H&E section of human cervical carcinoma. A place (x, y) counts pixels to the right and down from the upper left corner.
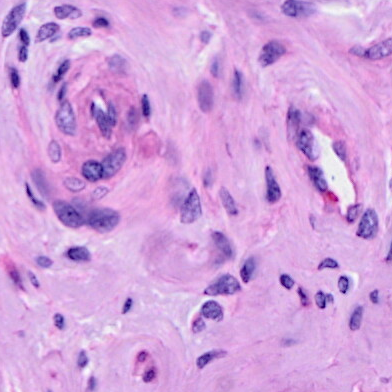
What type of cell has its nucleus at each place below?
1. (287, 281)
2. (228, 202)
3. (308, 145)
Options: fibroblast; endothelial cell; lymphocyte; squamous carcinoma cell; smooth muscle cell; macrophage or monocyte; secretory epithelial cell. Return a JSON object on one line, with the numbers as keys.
{"1": "fibroblast", "2": "fibroblast", "3": "endothelial cell"}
